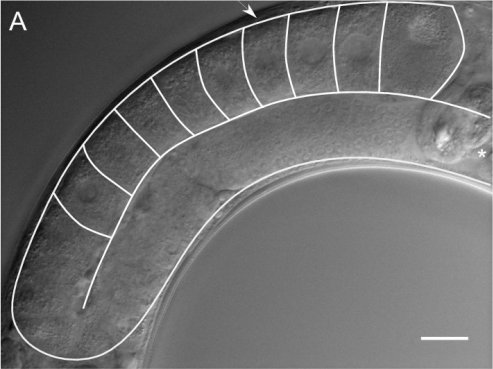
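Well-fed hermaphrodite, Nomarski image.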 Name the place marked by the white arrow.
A: Proximal gonad.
